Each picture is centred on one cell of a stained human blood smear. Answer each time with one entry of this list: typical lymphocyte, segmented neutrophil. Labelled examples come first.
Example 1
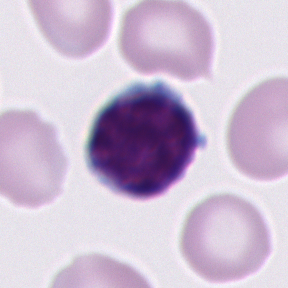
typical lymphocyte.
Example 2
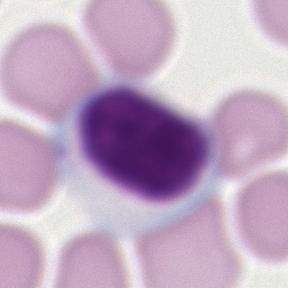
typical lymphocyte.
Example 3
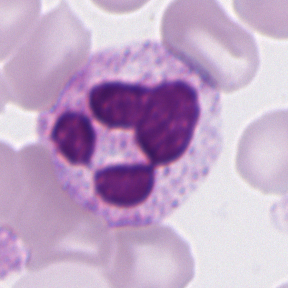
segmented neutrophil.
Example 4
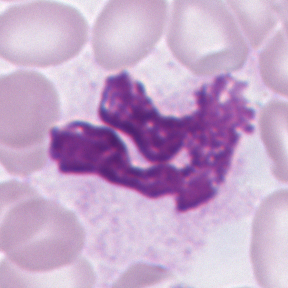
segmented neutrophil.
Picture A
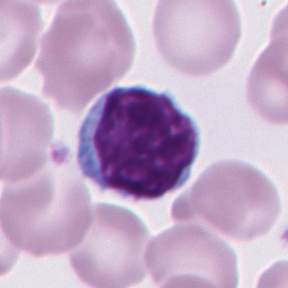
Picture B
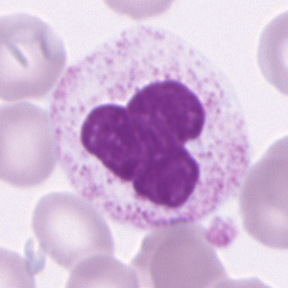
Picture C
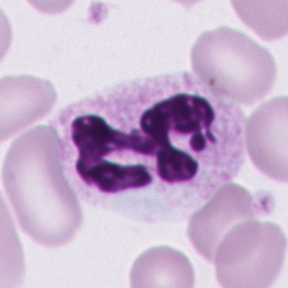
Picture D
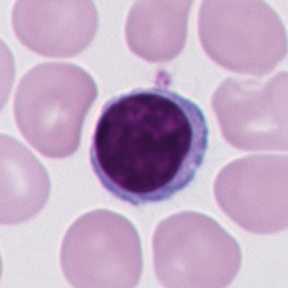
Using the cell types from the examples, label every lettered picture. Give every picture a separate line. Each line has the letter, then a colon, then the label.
A: typical lymphocyte.
B: segmented neutrophil.
C: segmented neutrophil.
D: typical lymphocyte.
